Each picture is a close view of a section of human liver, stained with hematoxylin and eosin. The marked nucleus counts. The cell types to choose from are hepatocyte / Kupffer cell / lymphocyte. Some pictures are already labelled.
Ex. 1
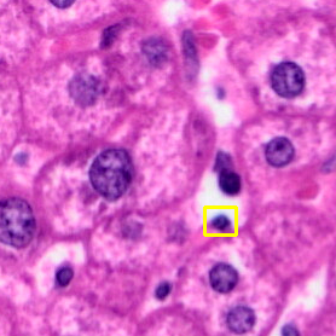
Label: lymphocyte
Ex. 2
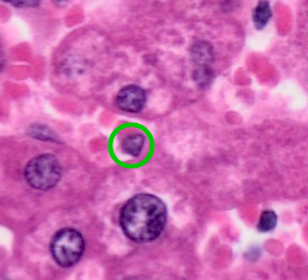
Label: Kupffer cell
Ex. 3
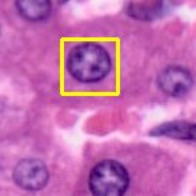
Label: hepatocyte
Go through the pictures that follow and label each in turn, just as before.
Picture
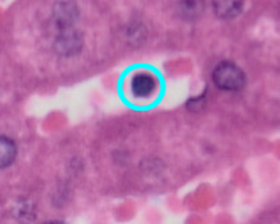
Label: lymphocyte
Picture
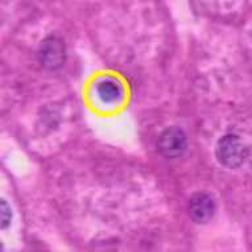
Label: lymphocyte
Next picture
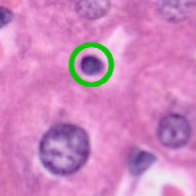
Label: lymphocyte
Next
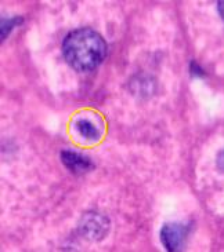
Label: lymphocyte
